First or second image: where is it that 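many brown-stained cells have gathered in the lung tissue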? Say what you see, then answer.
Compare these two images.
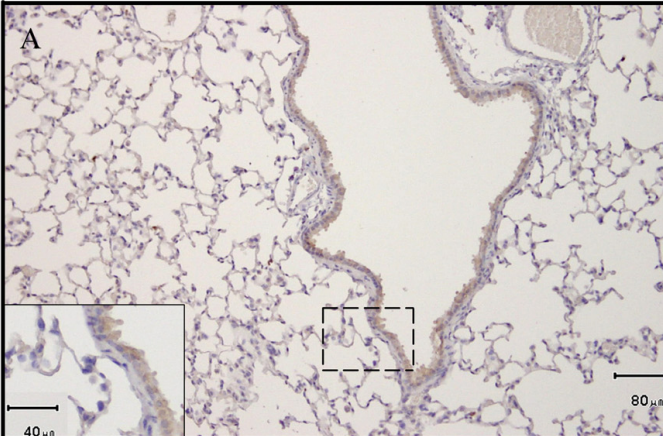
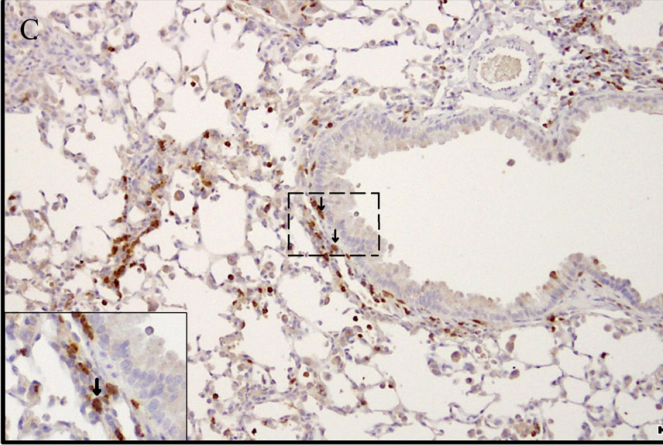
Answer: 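The second image. Second image: numerous dark brown cells crowd the alveolar walls and surround the airway. First image: alveolar walls are thin with blue nuclei and almost no brown-stained cells.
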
